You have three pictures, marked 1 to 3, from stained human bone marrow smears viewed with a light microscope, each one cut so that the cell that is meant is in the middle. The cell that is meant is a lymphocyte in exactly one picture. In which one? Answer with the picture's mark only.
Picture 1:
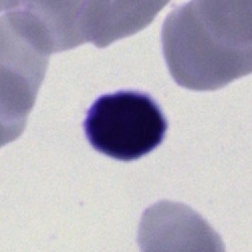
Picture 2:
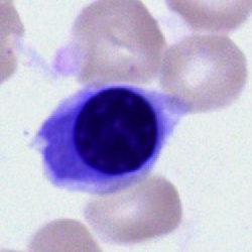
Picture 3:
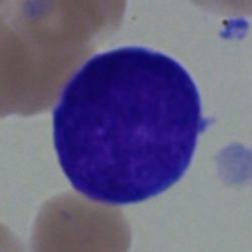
1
